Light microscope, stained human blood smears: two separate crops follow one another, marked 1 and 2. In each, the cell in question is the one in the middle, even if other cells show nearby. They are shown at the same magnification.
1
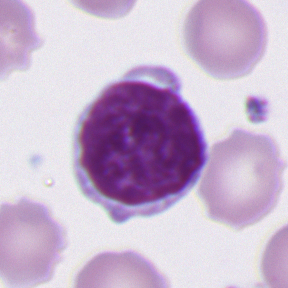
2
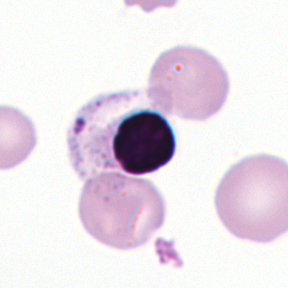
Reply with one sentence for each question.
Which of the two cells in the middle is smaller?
The cell in crop 2 is smaller; the one in crop 1 has about 2 times its area.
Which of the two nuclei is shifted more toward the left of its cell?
The nucleus in crop 1 lies further toward the left of its cell.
